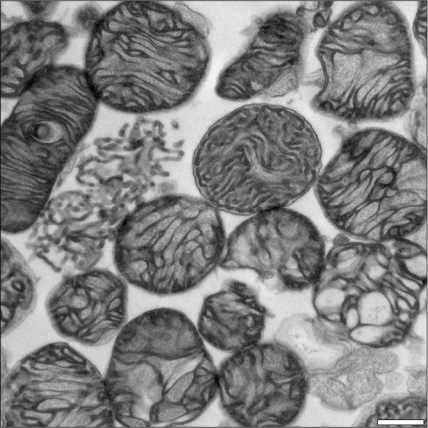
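This field shows a pellet of isolated mitochondria lying separately in a pale background, with no surrounding cytoplasm. The profiles are round to oval and of varied size, each bounded by a thin double membrane. Inside, numerous folded cristae run through a fairly dense grey matrix, often as parallel or curved lamellae. A few profiles show wider, paler spaces between the cristae. Small clumps of loose membranous material lie between some of the mitochondria.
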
